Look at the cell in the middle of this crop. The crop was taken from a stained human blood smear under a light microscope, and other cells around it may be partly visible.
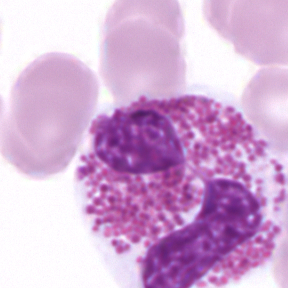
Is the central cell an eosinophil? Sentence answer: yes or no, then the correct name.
Yes, the cell at the crop's center is an eosinophil.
